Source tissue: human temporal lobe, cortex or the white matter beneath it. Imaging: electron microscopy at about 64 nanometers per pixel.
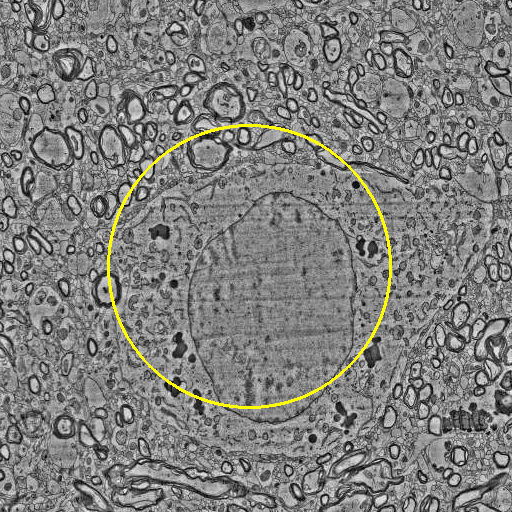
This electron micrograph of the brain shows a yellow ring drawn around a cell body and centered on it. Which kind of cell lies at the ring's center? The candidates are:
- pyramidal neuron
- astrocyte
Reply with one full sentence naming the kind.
The cell lying at the ring's center in this micrograph is a pyramidal neuron.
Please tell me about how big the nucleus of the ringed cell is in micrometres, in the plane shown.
The nucleus of the ringed cell is approximately 15 by 11 micrometres in this plane.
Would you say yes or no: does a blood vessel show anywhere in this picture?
No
